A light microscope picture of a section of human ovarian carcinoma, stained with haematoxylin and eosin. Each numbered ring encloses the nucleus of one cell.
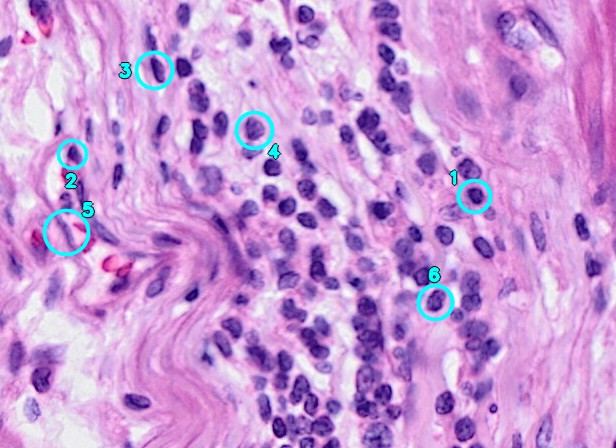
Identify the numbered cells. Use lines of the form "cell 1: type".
cell 1: lymphocyte
cell 2: endothelial cell
cell 3: lymphocyte
cell 4: lymphocyte
cell 5: endothelial cell
cell 6: lymphocyte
